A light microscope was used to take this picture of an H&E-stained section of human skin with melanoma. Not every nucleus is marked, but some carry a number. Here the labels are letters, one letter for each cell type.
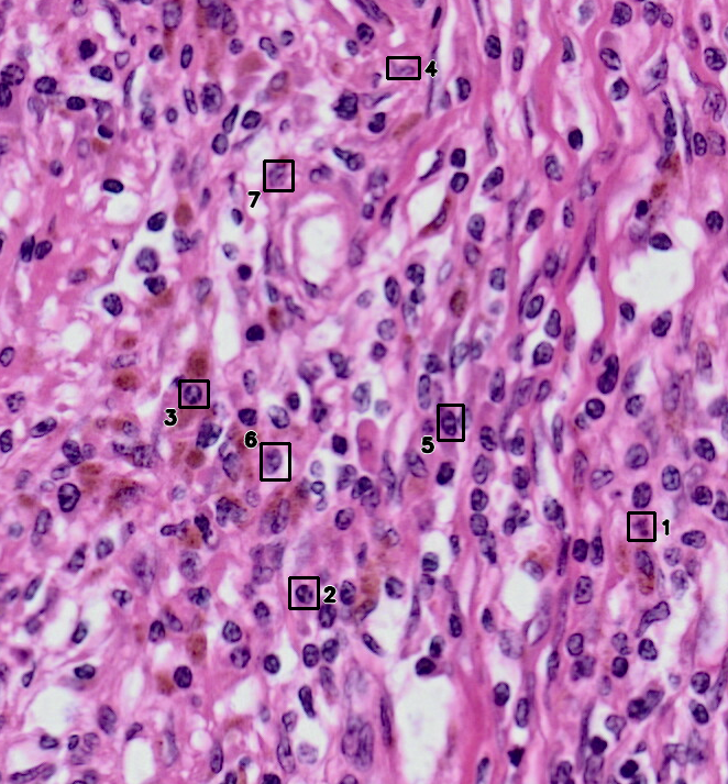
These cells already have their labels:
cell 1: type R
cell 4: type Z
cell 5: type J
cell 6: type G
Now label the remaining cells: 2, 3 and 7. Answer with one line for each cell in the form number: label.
2: type J
3: type J
7: type R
